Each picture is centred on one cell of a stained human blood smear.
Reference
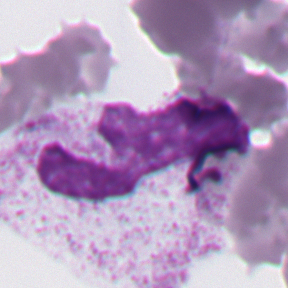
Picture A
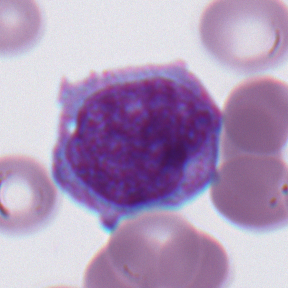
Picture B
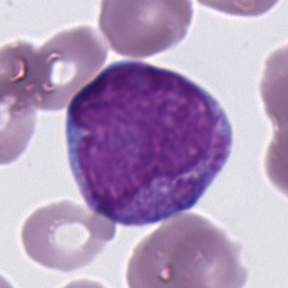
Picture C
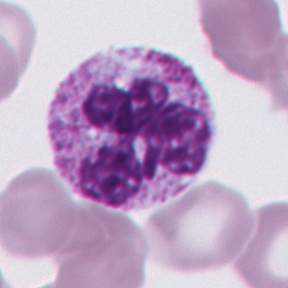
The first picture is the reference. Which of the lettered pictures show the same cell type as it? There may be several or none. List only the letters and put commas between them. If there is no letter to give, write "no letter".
C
